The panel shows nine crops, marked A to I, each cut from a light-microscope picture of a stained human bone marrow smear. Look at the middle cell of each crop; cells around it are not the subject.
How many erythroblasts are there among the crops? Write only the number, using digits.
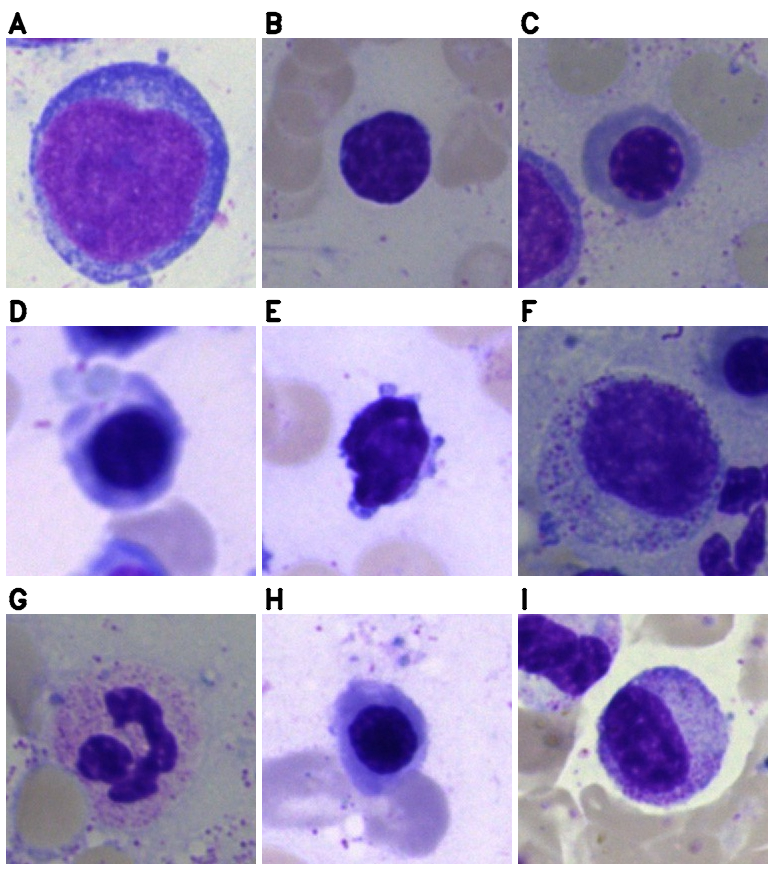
3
